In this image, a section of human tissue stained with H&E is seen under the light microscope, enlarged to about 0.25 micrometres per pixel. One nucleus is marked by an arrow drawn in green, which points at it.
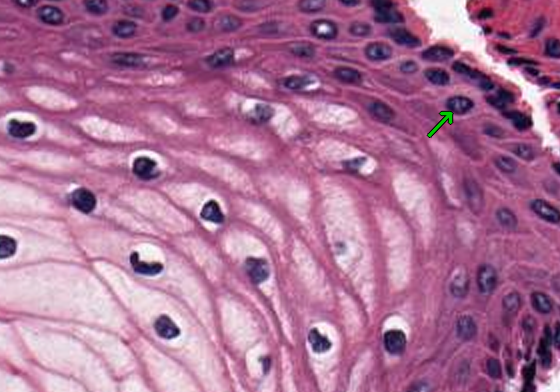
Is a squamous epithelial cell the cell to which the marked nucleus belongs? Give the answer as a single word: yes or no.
yes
